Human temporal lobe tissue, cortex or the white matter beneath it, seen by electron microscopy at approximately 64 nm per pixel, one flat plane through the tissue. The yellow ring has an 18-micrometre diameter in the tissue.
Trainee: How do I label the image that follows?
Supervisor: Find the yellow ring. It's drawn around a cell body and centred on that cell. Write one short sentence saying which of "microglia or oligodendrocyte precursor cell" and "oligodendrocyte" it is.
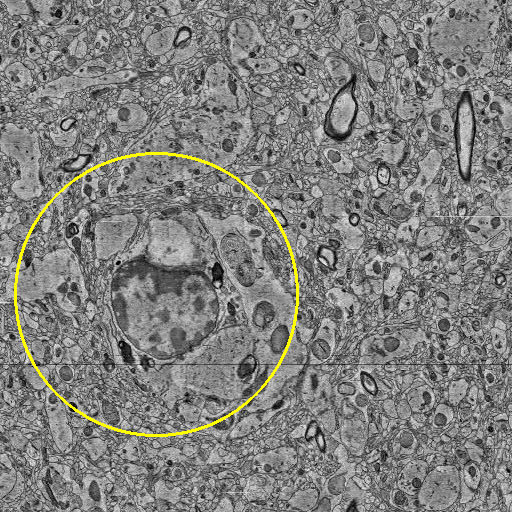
This is the cell body of a microglial cell or oligodendrocyte precursor cell.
